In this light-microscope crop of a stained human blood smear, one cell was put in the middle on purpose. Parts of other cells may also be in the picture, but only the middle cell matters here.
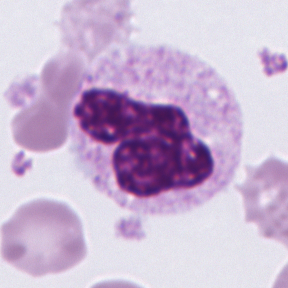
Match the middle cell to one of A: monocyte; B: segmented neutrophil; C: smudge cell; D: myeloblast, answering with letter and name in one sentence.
The correct option is B, as the central cell is a segmented neutrophil.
